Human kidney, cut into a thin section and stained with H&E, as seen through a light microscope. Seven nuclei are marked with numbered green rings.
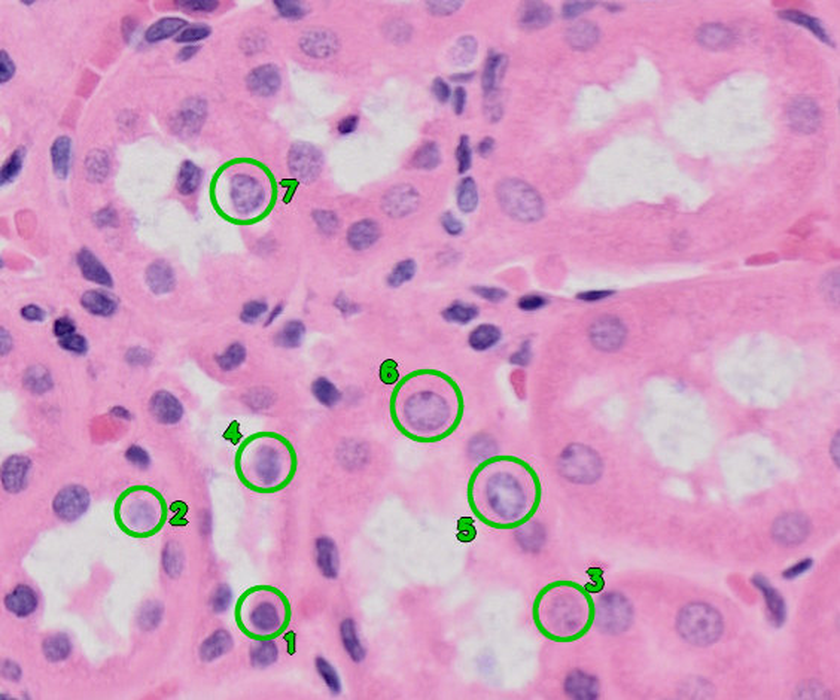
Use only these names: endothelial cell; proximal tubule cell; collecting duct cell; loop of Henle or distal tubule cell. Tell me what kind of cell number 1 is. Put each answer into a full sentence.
The cell that carries the label 1 is a loop of Henle or distal tubule cell.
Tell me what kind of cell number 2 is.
Marked with the number 2, this cell is a loop of Henle or distal tubule cell.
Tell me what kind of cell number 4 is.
The cell that is numbered 4 is a loop of Henle or distal tubule cell.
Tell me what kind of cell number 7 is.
In the marked set, the cell given number 7 is a loop of Henle or distal tubule cell.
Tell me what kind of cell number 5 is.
As for number 5, that cell is a proximal tubule cell.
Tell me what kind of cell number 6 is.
The mark numbered 6 indicates the nucleus of a proximal tubule cell.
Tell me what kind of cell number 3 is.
The nucleus marked 3 is the nucleus of a proximal tubule cell.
